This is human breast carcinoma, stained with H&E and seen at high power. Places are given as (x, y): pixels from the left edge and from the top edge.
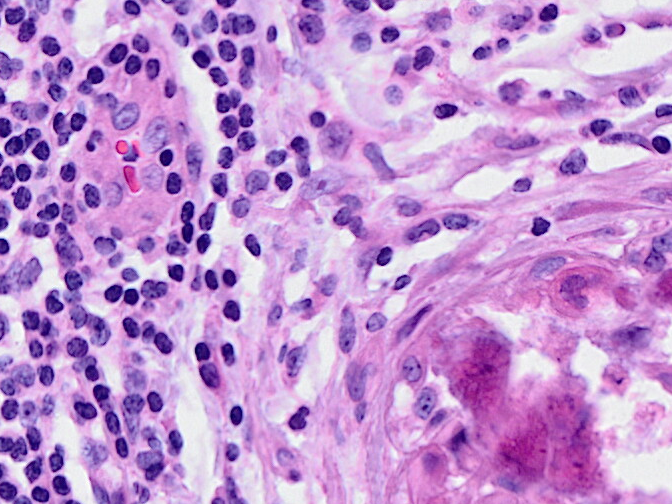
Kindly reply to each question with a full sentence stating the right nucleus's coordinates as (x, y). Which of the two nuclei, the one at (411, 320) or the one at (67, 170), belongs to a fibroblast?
The nucleus of a fibroblast is the one found at (411, 320), not the other.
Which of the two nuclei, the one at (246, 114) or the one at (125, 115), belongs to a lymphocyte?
The correct choice is the nucleus at (246, 114), which belongs to a lymphocyte.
